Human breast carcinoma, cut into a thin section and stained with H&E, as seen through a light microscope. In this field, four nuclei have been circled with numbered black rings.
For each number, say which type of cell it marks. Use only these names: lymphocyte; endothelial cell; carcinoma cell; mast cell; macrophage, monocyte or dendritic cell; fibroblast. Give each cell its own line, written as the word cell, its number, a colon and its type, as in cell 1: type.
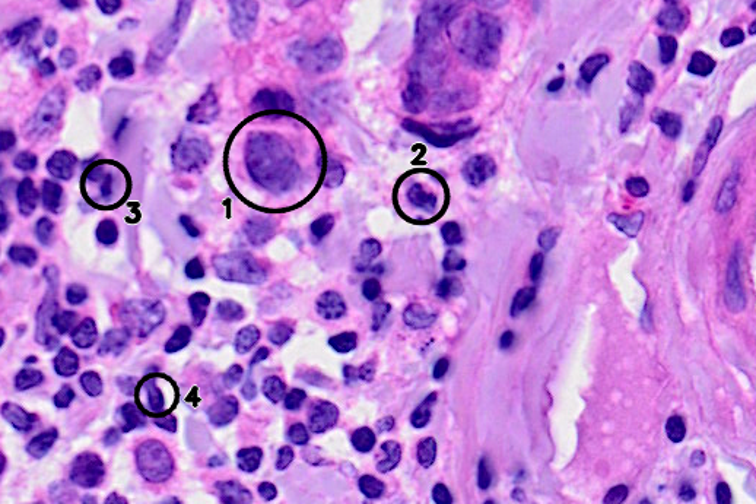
cell 1: carcinoma cell
cell 2: lymphocyte
cell 3: lymphocyte
cell 4: lymphocyte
